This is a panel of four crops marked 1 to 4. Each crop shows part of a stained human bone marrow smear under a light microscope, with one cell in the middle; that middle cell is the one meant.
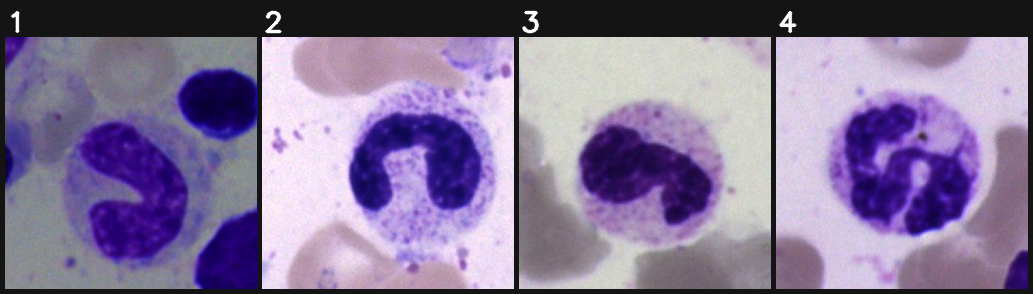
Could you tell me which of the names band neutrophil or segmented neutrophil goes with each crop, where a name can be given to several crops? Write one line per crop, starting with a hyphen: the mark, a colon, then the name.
- 1: band neutrophil
- 2: band neutrophil
- 3: segmented neutrophil
- 4: segmented neutrophil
